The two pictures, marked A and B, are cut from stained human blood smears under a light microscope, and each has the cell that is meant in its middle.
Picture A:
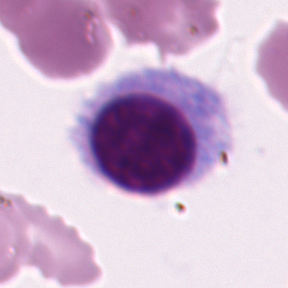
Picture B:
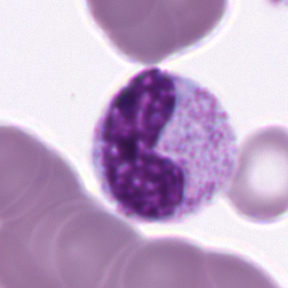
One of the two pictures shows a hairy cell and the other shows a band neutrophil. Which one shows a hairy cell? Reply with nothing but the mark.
A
